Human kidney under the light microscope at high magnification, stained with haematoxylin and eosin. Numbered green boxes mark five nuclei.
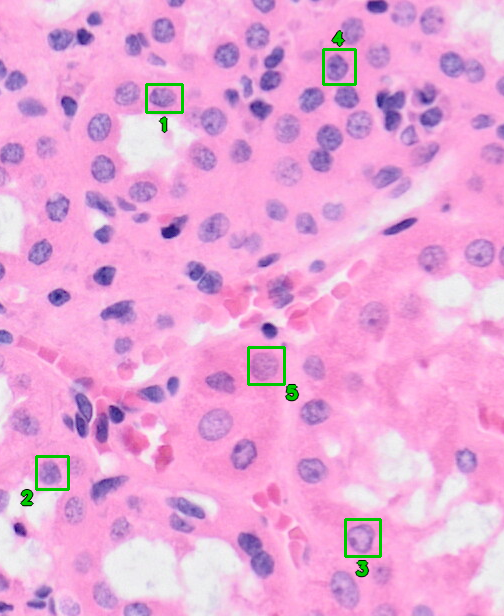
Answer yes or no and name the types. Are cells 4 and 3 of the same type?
No, cell 4 is a loop of Henle or distal tubule cell, but cell 3 is a proximal tubule cell.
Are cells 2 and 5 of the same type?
No, the proper labels are a loop of Henle or distal tubule cell for cell 2 and a proximal tubule cell for cell 5.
